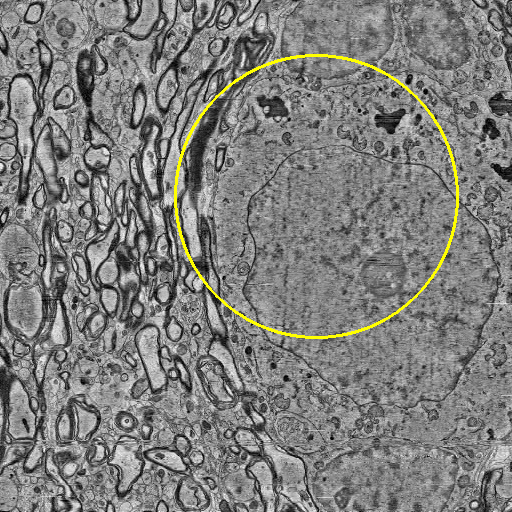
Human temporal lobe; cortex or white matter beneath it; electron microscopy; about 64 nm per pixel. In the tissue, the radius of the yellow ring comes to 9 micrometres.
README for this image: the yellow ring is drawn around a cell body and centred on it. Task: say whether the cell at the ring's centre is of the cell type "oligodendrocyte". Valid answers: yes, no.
no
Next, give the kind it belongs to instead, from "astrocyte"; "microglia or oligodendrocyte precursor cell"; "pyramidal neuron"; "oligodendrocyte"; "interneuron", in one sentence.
The cell shown in the ring is a pyramidal neuron.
